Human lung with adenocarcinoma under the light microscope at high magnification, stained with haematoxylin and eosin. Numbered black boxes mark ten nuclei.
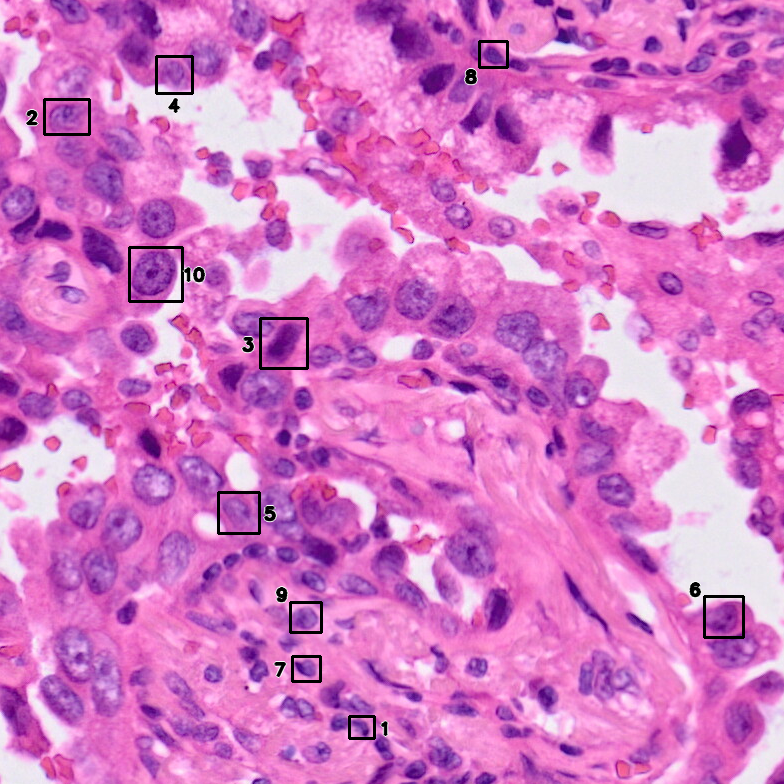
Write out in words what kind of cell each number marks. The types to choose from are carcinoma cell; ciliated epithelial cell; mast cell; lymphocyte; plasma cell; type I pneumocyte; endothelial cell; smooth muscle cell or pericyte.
Cells 1, 7, 8 and 9 are lymphocytes. Cells 2, 3, 4, 5, 6 and 10 are carcinoma cells.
